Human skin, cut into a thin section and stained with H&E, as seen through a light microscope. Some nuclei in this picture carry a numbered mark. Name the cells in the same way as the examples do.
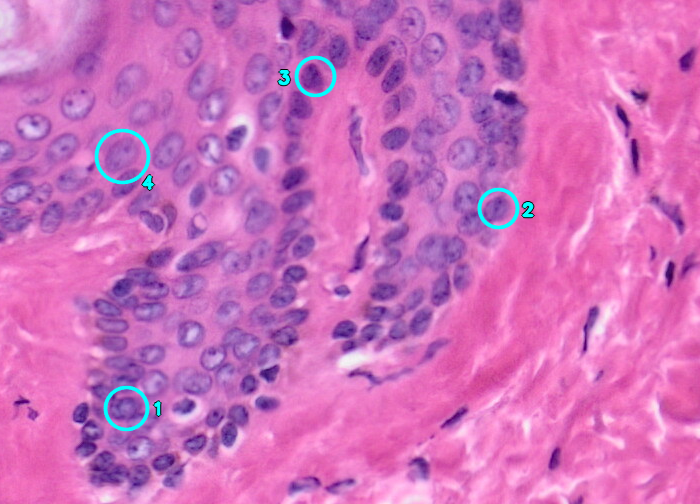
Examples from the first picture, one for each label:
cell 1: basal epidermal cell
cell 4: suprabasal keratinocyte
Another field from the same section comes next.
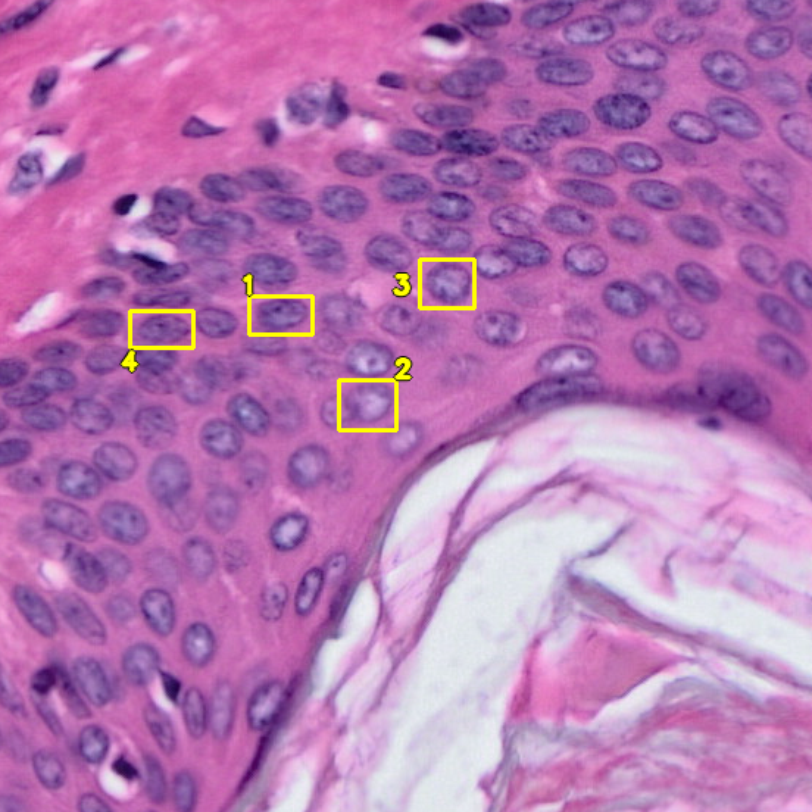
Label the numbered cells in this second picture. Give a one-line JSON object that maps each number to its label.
{"1": "suprabasal keratinocyte", "2": "suprabasal keratinocyte", "3": "suprabasal keratinocyte", "4": "basal epidermal cell"}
